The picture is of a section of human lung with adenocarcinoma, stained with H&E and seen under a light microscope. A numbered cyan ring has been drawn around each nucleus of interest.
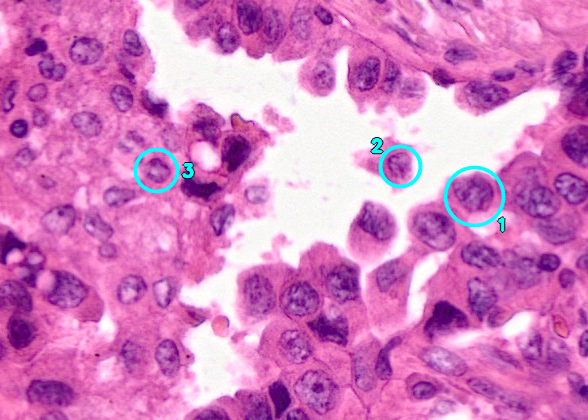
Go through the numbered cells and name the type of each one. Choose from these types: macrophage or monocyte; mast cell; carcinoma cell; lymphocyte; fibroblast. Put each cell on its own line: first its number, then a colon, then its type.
1: carcinoma cell
2: macrophage or monocyte
3: macrophage or monocyte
